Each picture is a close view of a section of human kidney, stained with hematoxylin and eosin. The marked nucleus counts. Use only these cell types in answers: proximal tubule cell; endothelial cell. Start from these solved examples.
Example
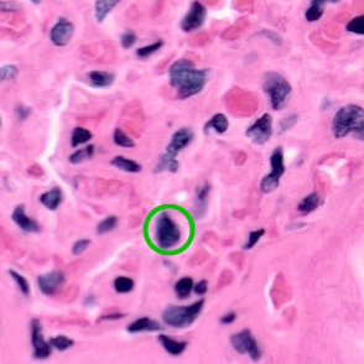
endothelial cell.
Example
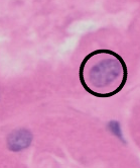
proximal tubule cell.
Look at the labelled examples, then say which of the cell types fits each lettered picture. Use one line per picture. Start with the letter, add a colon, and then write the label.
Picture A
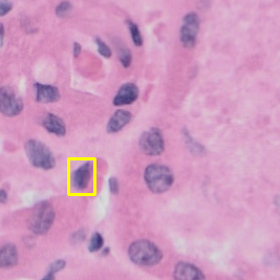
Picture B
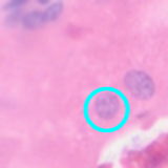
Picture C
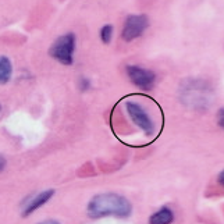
A: endothelial cell.
B: proximal tubule cell.
C: endothelial cell.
